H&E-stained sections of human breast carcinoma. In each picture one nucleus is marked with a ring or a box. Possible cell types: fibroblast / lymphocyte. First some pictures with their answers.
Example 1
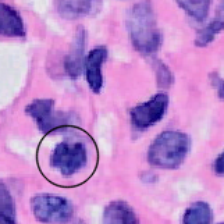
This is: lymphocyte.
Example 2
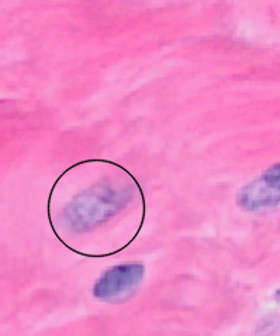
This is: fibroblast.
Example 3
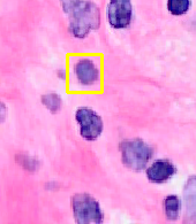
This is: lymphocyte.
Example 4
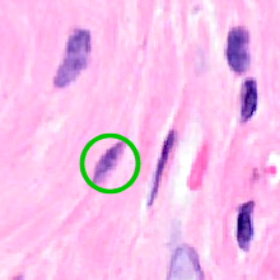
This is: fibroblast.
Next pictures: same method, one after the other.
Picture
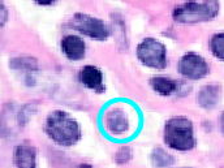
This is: lymphocyte.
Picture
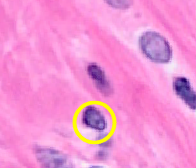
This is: lymphocyte.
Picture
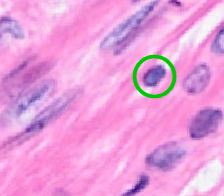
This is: lymphocyte.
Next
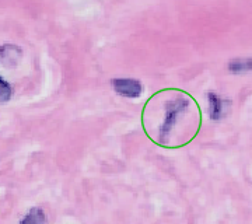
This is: fibroblast.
